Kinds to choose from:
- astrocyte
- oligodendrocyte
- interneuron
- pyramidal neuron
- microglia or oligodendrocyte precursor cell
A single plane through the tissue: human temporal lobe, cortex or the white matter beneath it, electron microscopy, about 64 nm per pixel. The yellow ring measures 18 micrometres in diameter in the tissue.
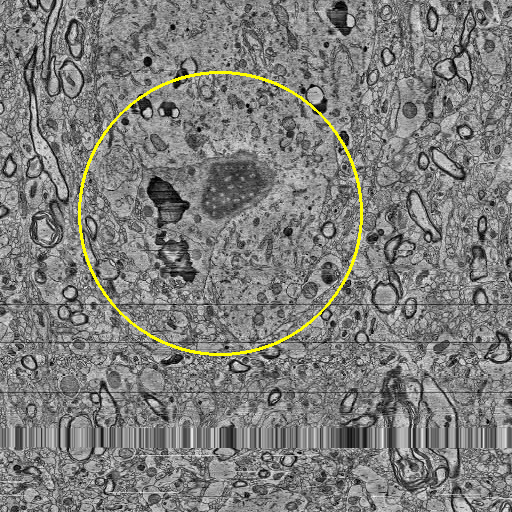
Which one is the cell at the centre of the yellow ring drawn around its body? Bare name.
oligodendrocyte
